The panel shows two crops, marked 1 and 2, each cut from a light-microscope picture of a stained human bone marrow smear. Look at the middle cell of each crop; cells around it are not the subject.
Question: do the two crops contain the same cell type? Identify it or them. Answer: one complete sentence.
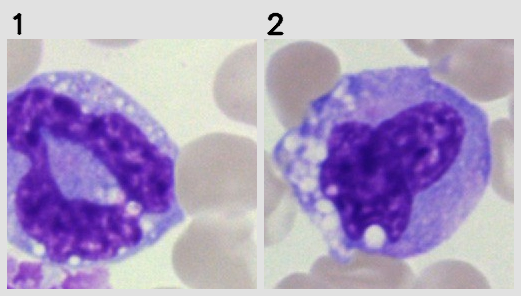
Yes, monocytes lie at the centre of both crops.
